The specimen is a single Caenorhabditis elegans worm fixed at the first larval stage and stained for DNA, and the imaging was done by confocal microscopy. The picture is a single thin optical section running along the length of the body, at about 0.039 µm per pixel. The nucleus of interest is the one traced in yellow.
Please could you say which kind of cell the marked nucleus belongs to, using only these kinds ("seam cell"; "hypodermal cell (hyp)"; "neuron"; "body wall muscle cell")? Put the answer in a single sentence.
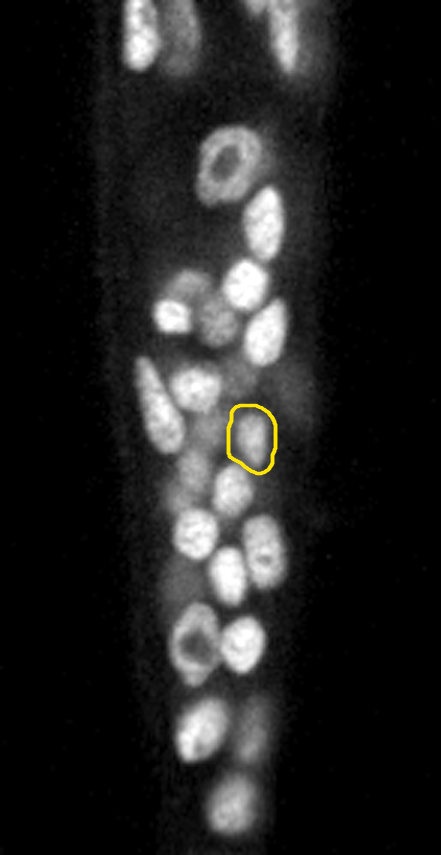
It belongs to a neuron.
